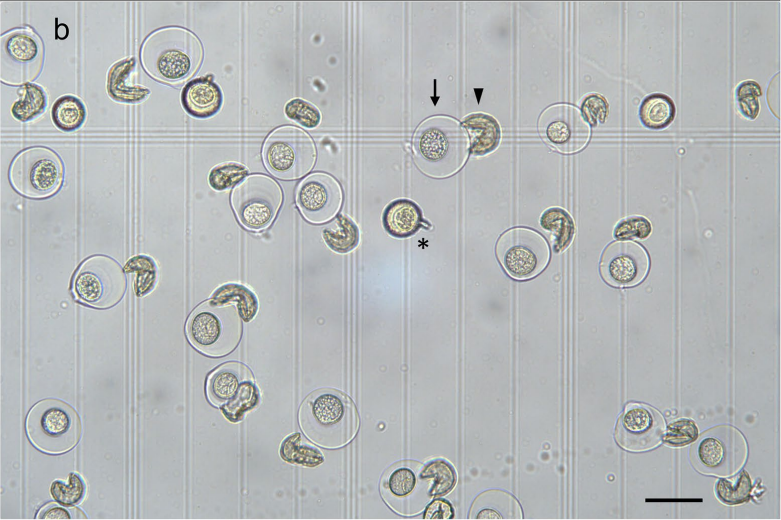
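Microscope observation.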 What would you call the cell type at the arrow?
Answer: released pollen cell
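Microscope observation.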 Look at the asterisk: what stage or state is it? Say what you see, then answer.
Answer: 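A round grain with a thick dark outer rim. No clear envelope or separate empty shell beside it. A small pointed protrusion on its surface.
Hence: unreleased pollen.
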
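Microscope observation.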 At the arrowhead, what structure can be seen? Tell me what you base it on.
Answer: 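A folded, crumpled, empty-looking shell. It lies next to a released round cell. It has a thick refractile outline with no cell content.
Conclusion: exine structure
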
